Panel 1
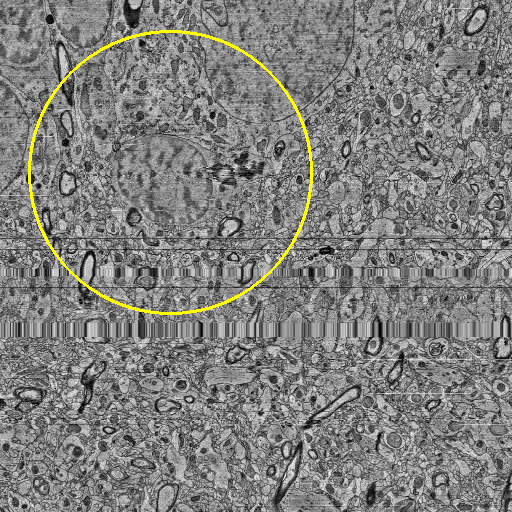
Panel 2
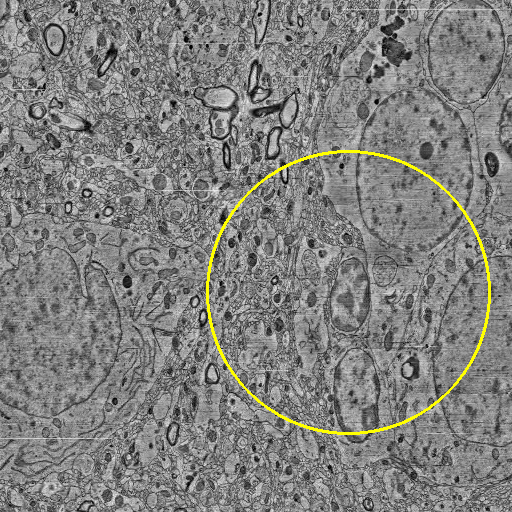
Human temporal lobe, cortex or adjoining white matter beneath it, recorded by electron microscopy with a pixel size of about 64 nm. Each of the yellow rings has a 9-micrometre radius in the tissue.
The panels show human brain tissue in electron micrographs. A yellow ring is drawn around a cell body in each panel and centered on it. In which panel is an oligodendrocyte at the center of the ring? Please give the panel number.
1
